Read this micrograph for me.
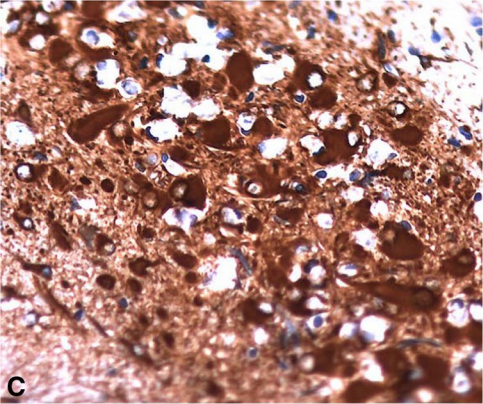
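Small blue nuclei sit within or beside the brown cells. Scattered clear, empty-looking spaces with pale outlines lie among them. Toward the lower edge the brown network thins into paler tissue, showing that the dense astrocyte reaction is concentrated in a band.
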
